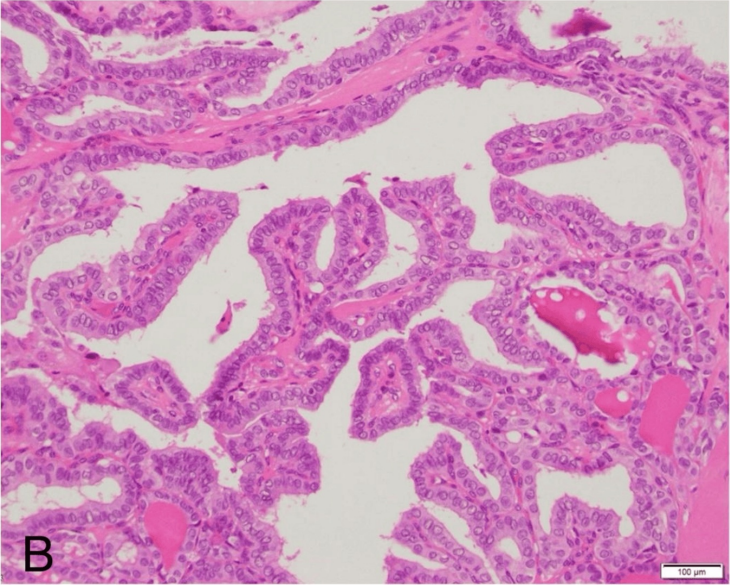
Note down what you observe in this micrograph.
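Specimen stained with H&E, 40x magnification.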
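This is papillary tumor tissue made of branching fronds that project into clear spaces. Each frond has a thin pink fibrovascular core and is lined by cuboidal to columnar epithelial cells with pale pink cytoplasm. The nuclei are oval, pale and crowded, often overlapping one another along the lining. Some of the spaces between the fronds hold dense, homogeneous pink material.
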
